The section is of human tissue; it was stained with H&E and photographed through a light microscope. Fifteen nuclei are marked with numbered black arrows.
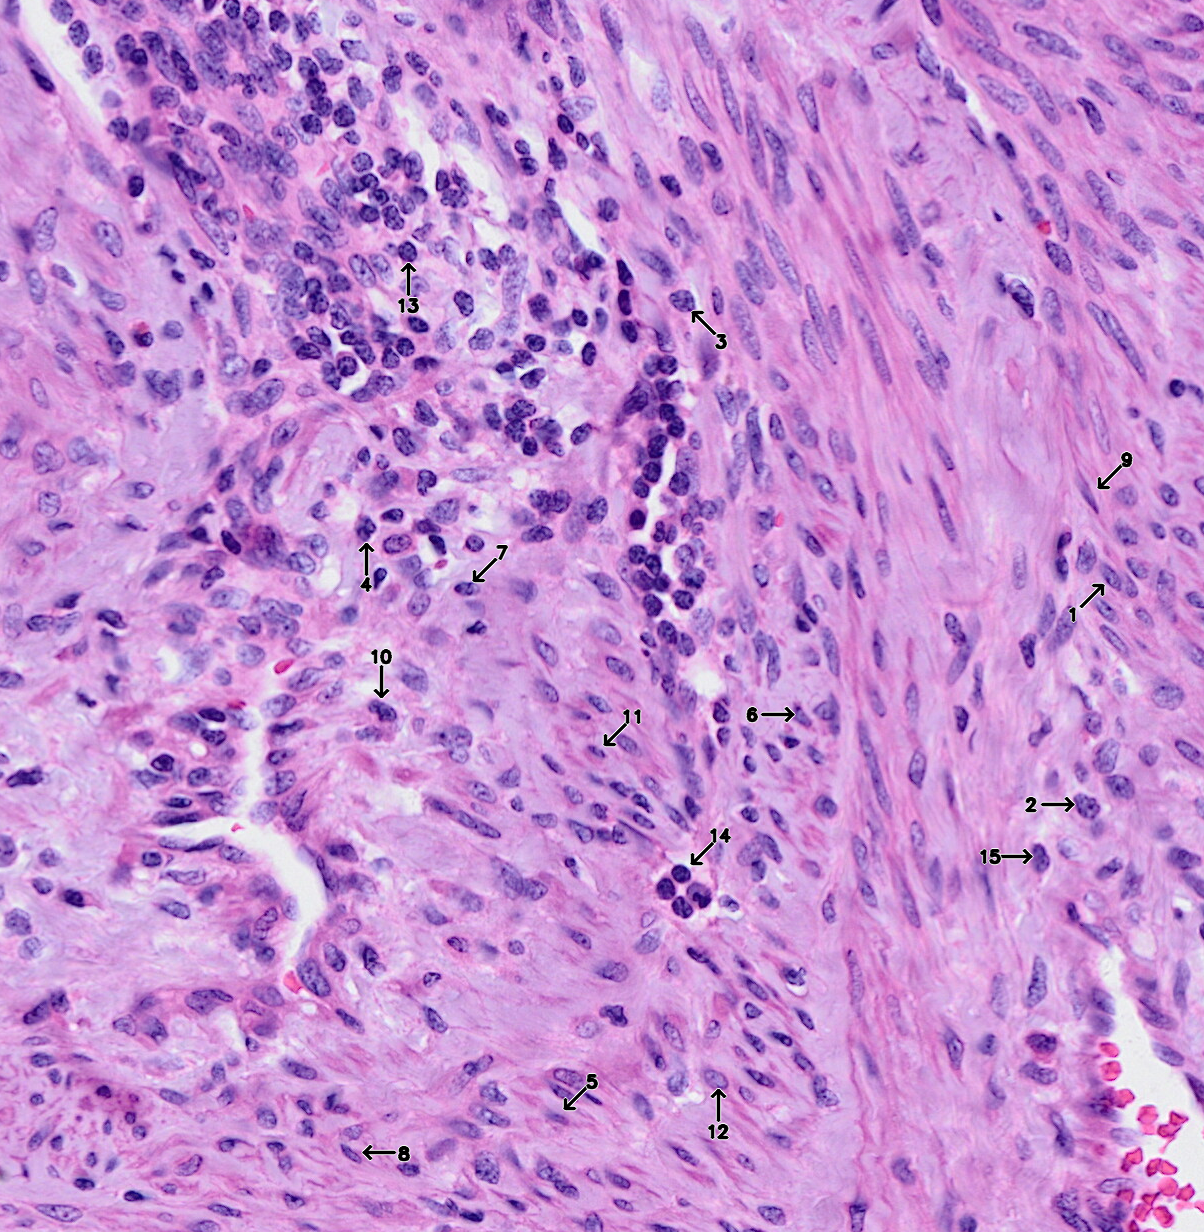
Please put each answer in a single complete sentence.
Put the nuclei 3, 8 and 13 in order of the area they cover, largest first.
Going from the biggest nucleus down to the smallest gives 3, 13, 8.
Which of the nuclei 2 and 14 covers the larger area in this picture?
Number 2 is larger; its area is about 1.5 times that of number 14.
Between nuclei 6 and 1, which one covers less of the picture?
Nucleus 6 covers less area, with nucleus 1 about 1.5 times as large.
